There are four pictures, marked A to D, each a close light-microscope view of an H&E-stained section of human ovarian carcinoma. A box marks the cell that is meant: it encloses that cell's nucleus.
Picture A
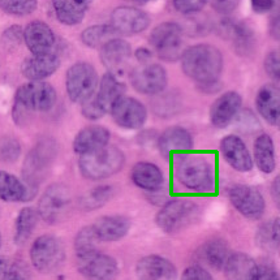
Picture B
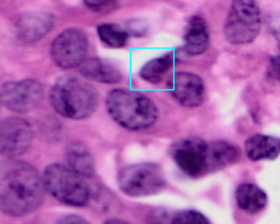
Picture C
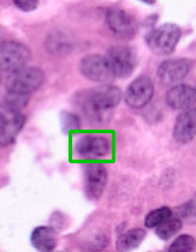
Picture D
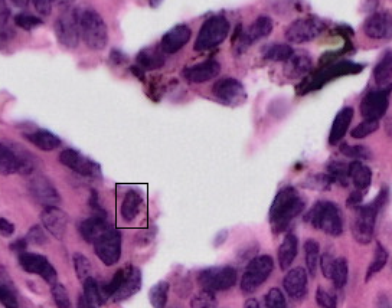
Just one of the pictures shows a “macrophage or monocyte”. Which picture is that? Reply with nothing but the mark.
D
